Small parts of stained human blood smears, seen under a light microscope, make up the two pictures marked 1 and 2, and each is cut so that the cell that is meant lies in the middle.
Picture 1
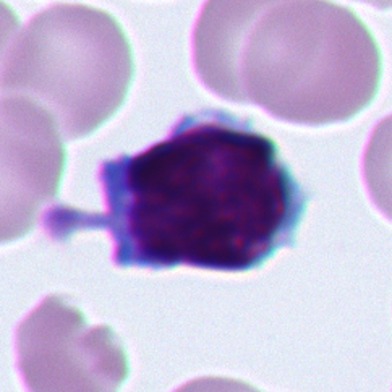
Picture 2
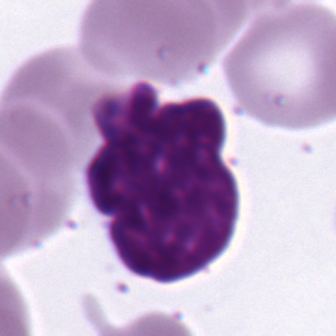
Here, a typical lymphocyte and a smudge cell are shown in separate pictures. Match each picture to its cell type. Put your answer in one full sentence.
Picture 1 shows a typical lymphocyte and picture 2 shows a smudge cell.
